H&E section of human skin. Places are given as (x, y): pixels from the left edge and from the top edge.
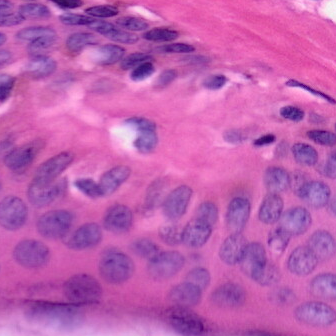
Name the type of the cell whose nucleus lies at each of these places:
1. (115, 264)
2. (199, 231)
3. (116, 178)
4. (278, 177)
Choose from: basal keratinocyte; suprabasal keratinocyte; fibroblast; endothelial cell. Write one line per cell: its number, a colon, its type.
1: suprabasal keratinocyte
2: basal keratinocyte
3: basal keratinocyte
4: basal keratinocyte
